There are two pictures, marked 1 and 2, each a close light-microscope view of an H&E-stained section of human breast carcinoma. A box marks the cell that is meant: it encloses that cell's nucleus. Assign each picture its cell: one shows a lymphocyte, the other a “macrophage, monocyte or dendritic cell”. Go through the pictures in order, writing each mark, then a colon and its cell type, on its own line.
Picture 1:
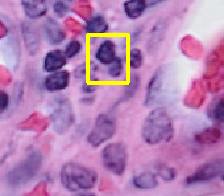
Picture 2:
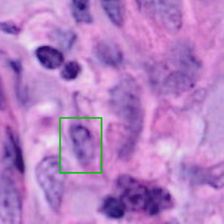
1: lymphocyte
2: macrophage, monocyte or dendritic cell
